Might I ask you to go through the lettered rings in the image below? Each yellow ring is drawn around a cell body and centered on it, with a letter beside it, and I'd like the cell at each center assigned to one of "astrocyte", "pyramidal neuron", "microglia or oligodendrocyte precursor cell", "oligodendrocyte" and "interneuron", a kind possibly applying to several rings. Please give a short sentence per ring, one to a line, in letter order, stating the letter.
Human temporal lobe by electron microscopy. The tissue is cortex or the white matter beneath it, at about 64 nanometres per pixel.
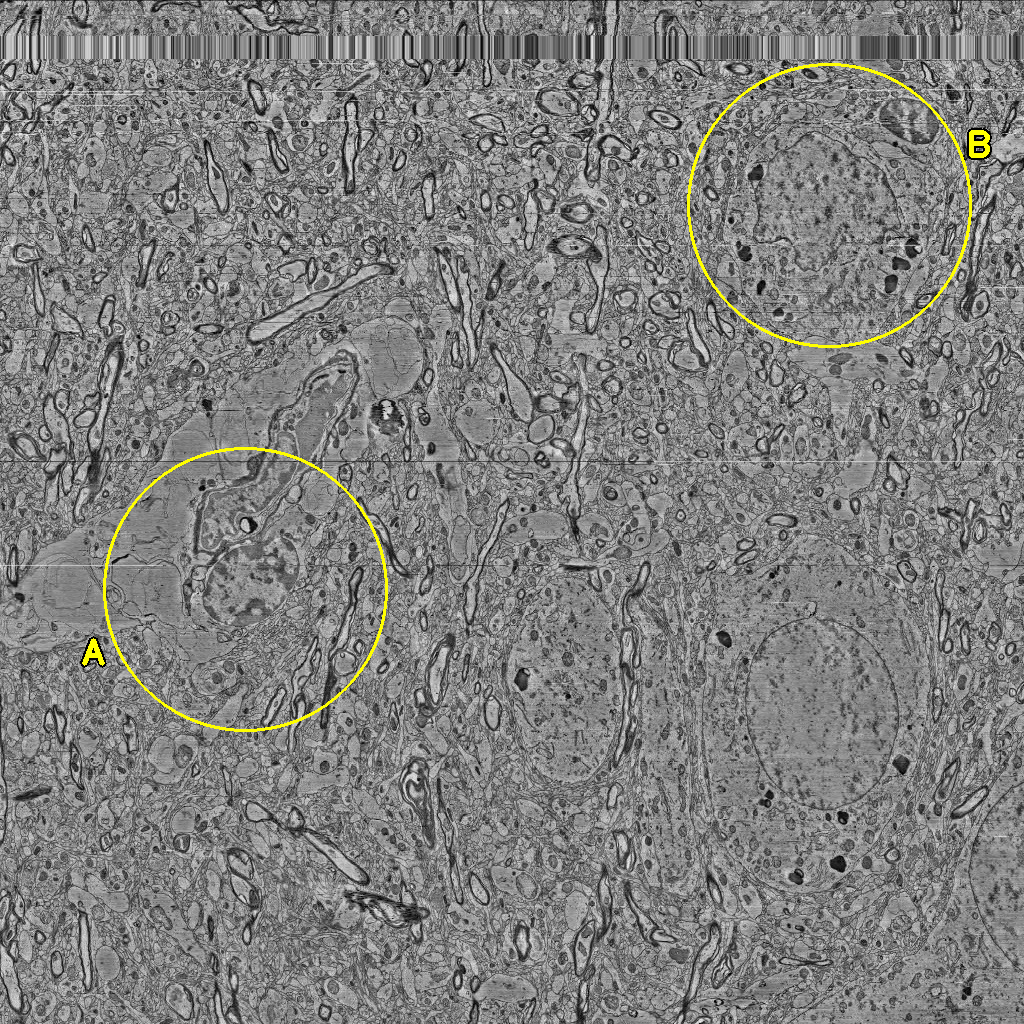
Ring A is centered on the body of a microglial cell or oligodendrocyte precursor cell.
Ring B is centered on the body of an interneuron.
